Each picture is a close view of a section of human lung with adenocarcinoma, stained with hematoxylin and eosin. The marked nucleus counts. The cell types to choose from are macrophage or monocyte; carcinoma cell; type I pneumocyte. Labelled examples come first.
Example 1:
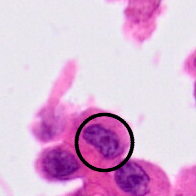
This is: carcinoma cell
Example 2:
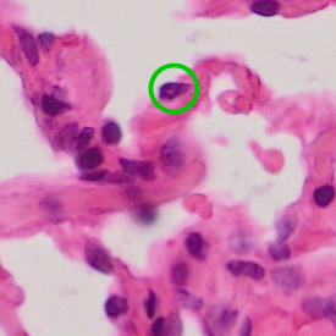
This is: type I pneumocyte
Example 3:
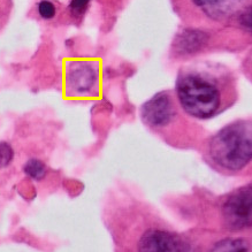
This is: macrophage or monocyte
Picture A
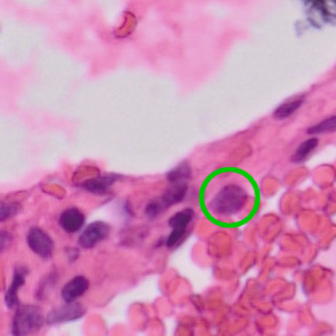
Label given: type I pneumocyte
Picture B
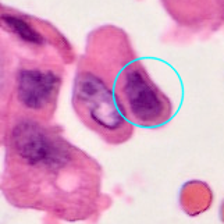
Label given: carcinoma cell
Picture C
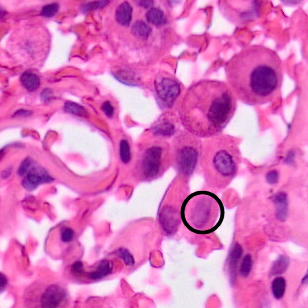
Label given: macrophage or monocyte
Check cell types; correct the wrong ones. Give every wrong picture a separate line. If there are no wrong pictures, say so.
No label is wrong.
